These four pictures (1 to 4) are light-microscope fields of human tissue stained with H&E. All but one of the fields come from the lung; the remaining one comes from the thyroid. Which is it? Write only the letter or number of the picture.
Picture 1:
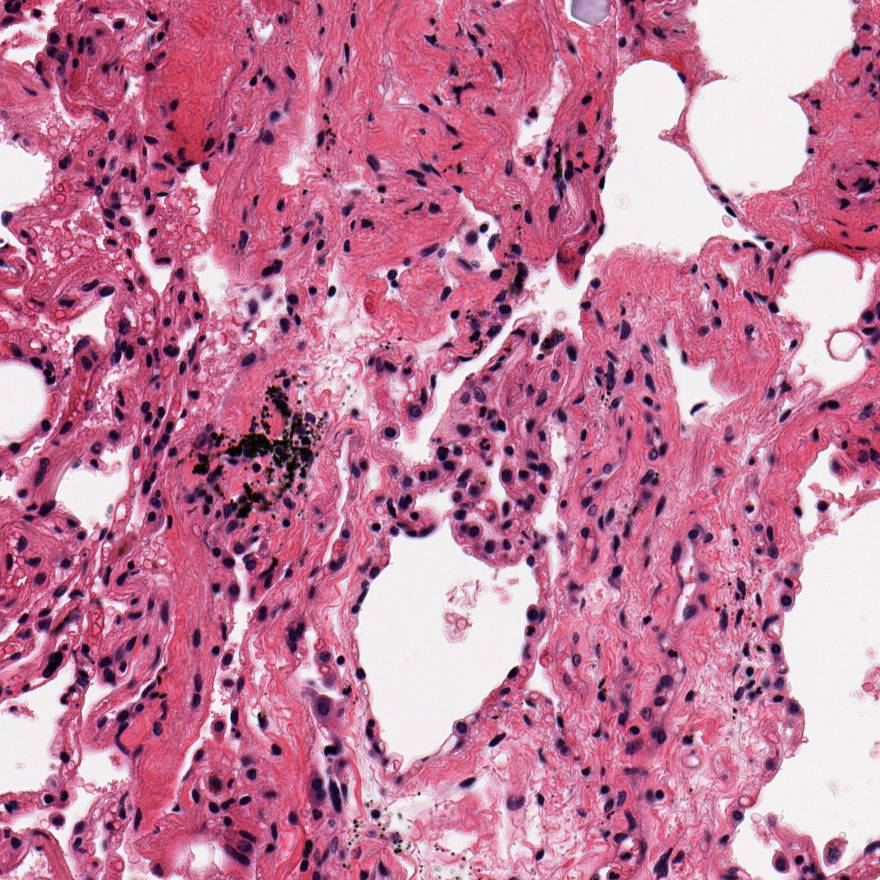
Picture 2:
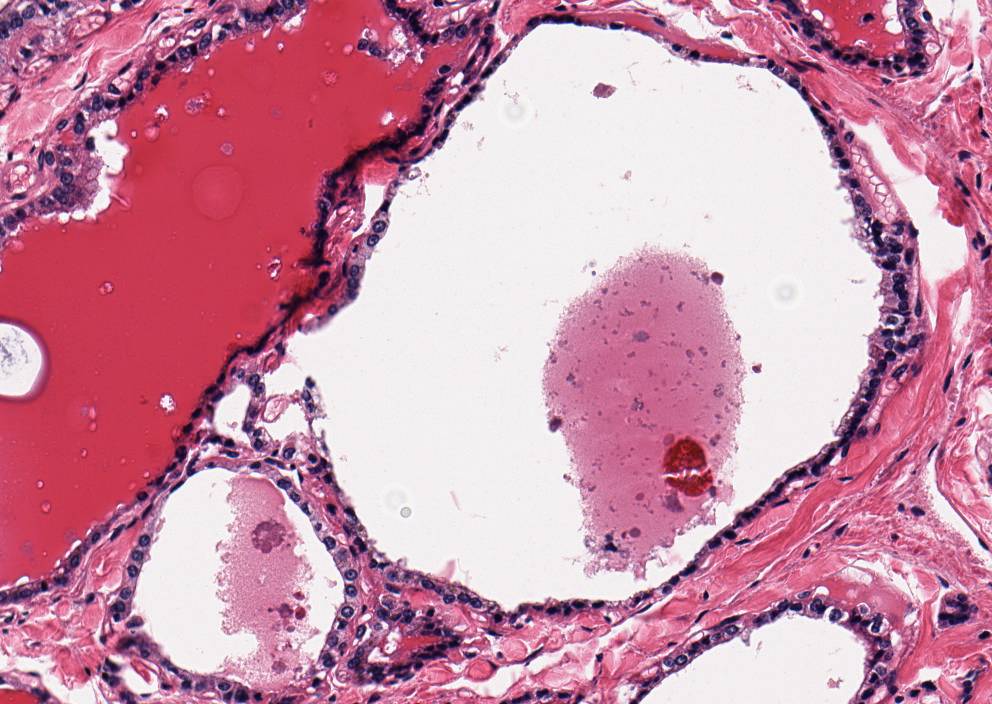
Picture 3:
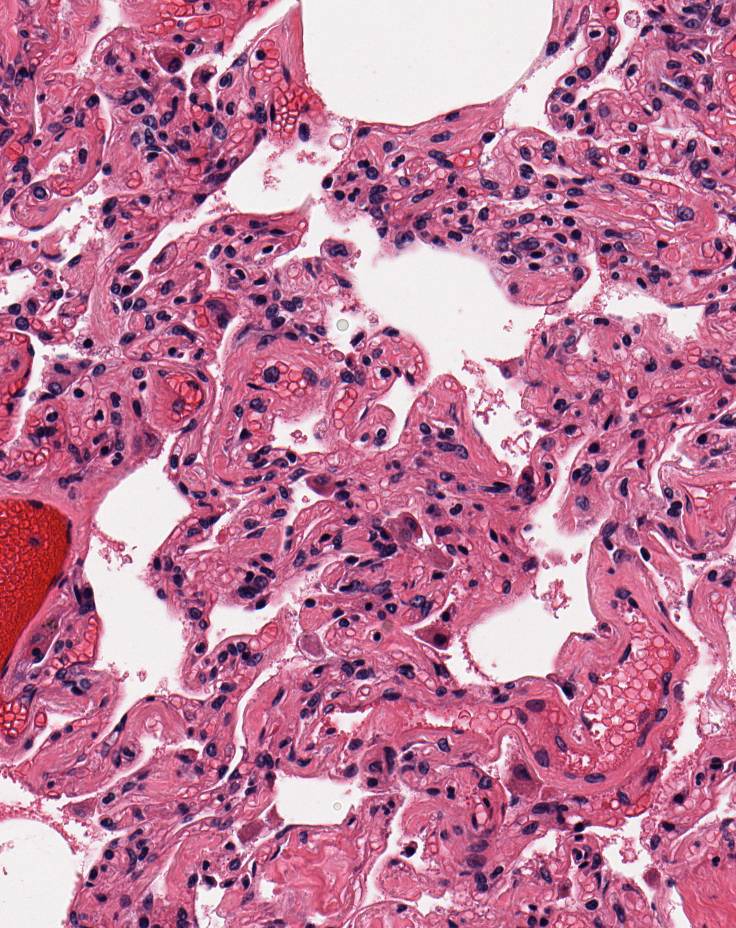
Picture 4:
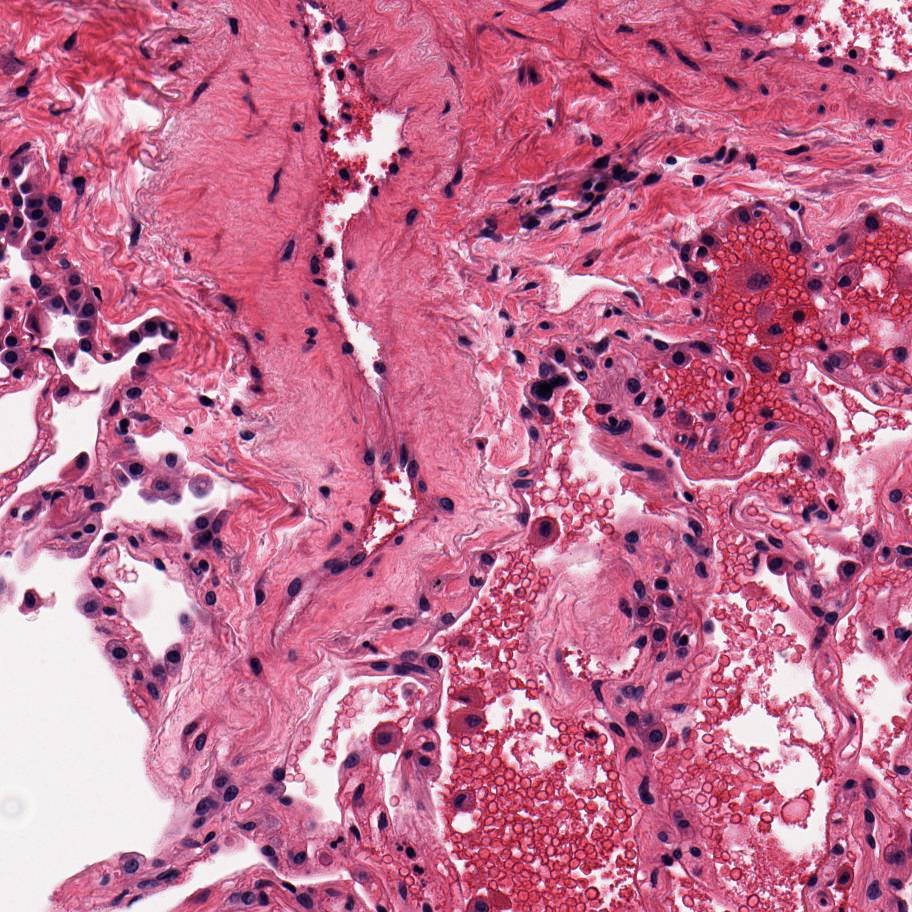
2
